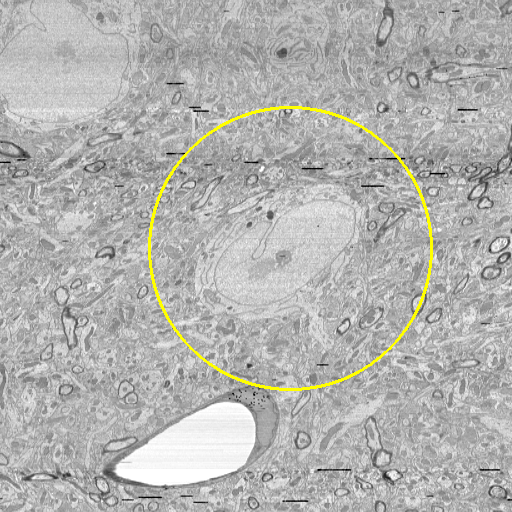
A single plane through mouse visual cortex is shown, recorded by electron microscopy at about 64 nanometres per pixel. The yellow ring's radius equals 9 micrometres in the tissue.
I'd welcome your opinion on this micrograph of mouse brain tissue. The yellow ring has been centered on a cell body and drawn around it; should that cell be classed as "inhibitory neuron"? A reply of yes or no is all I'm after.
yes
